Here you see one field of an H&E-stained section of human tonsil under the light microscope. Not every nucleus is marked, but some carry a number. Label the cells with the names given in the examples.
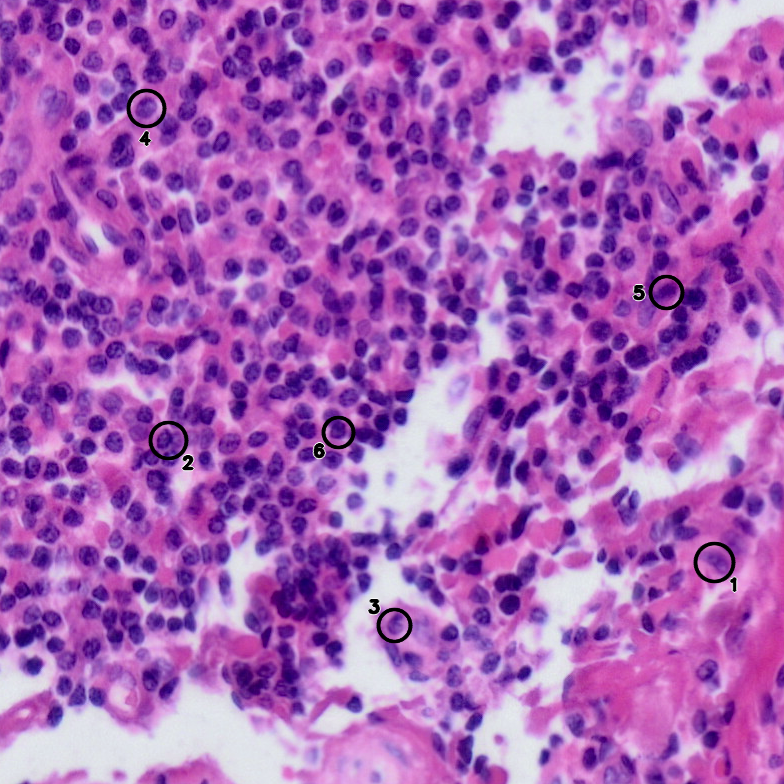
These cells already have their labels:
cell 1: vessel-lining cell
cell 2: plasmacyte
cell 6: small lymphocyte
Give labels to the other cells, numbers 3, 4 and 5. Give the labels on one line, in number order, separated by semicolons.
vessel-lining cell; plasmacyte; vessel-lining cell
